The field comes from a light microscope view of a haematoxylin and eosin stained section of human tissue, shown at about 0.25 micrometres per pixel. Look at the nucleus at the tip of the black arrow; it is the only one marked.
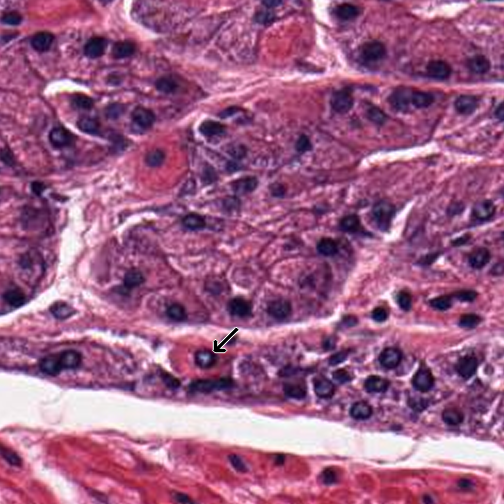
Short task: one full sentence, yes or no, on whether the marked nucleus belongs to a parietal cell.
Yes, the marked nucleus is a nucleus of a parietal cell.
